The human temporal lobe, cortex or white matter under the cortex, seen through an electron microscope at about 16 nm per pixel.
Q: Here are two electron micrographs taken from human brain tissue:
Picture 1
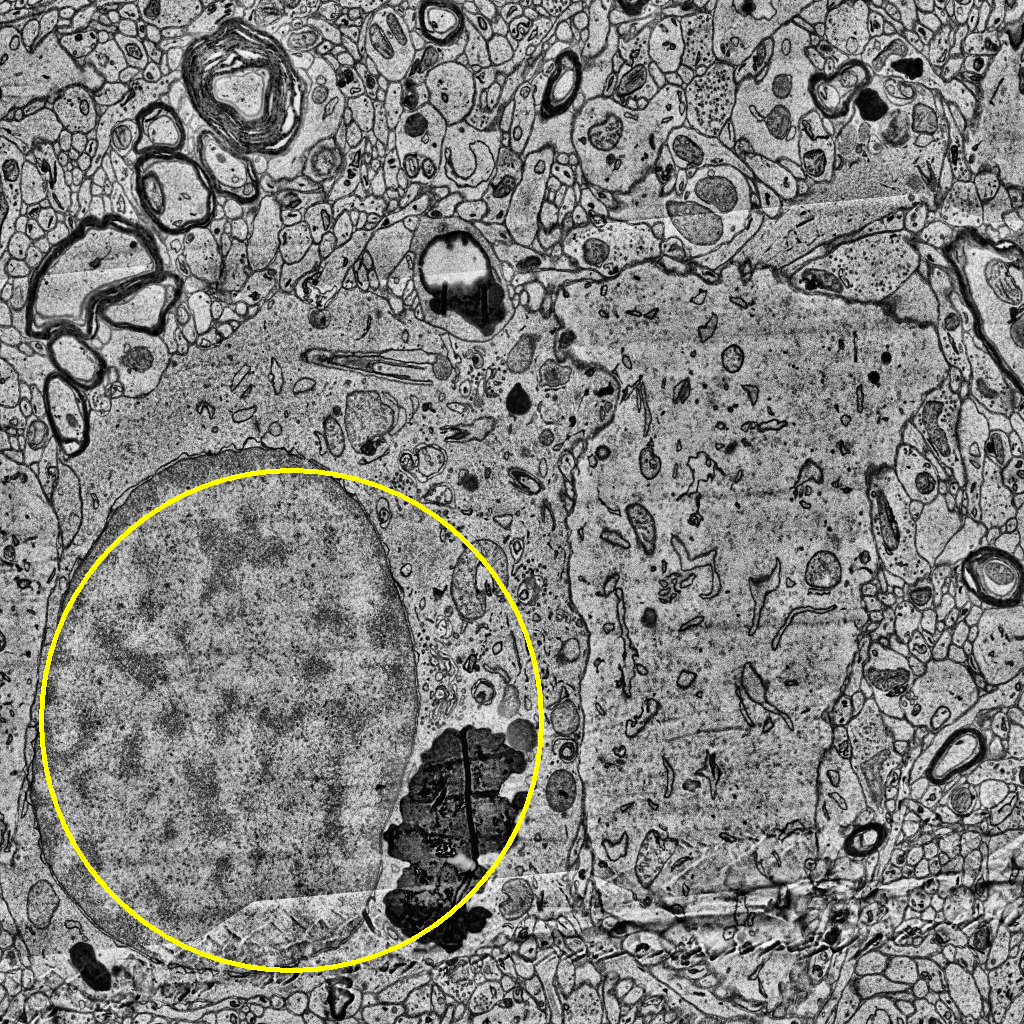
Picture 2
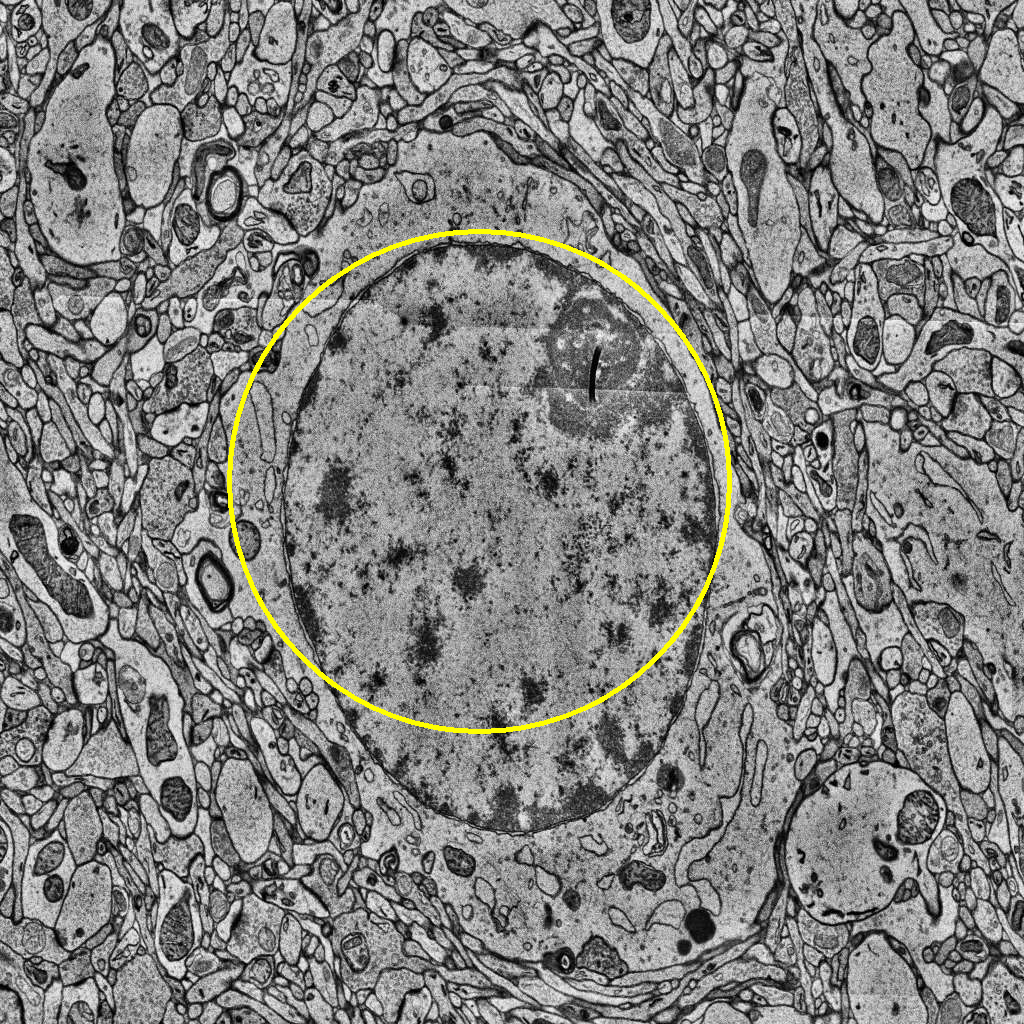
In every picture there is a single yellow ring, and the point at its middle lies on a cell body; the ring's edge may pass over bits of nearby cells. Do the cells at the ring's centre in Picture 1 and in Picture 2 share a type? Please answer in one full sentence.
No, the cells at the ring's centre in Picture 1 and Picture 2 are of two types.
